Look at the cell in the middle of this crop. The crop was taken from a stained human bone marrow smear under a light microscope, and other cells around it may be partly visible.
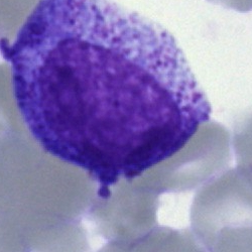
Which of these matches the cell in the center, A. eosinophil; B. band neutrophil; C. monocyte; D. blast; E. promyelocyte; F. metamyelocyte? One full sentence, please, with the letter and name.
The middle of the crop contains a promyelocyte, so option E is right.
